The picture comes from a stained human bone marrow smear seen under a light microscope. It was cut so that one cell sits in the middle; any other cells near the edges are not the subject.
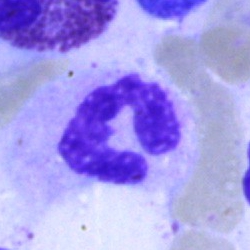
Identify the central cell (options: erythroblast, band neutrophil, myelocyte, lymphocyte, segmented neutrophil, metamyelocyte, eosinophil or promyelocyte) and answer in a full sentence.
The cell centred in this crop is categorized as a segmented neutrophil.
